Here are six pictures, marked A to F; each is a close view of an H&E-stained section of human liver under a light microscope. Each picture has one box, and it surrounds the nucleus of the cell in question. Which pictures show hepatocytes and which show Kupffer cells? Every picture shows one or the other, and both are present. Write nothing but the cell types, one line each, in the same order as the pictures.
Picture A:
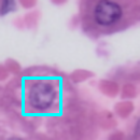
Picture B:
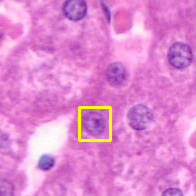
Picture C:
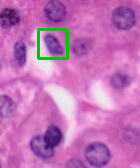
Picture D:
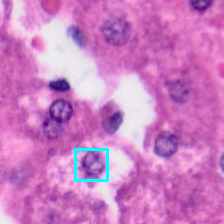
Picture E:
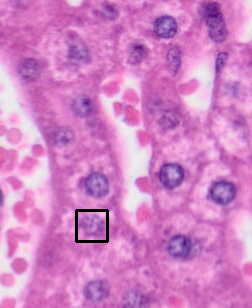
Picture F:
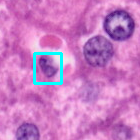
hepatocyte
hepatocyte
Kupffer cell
hepatocyte
hepatocyte
Kupffer cell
